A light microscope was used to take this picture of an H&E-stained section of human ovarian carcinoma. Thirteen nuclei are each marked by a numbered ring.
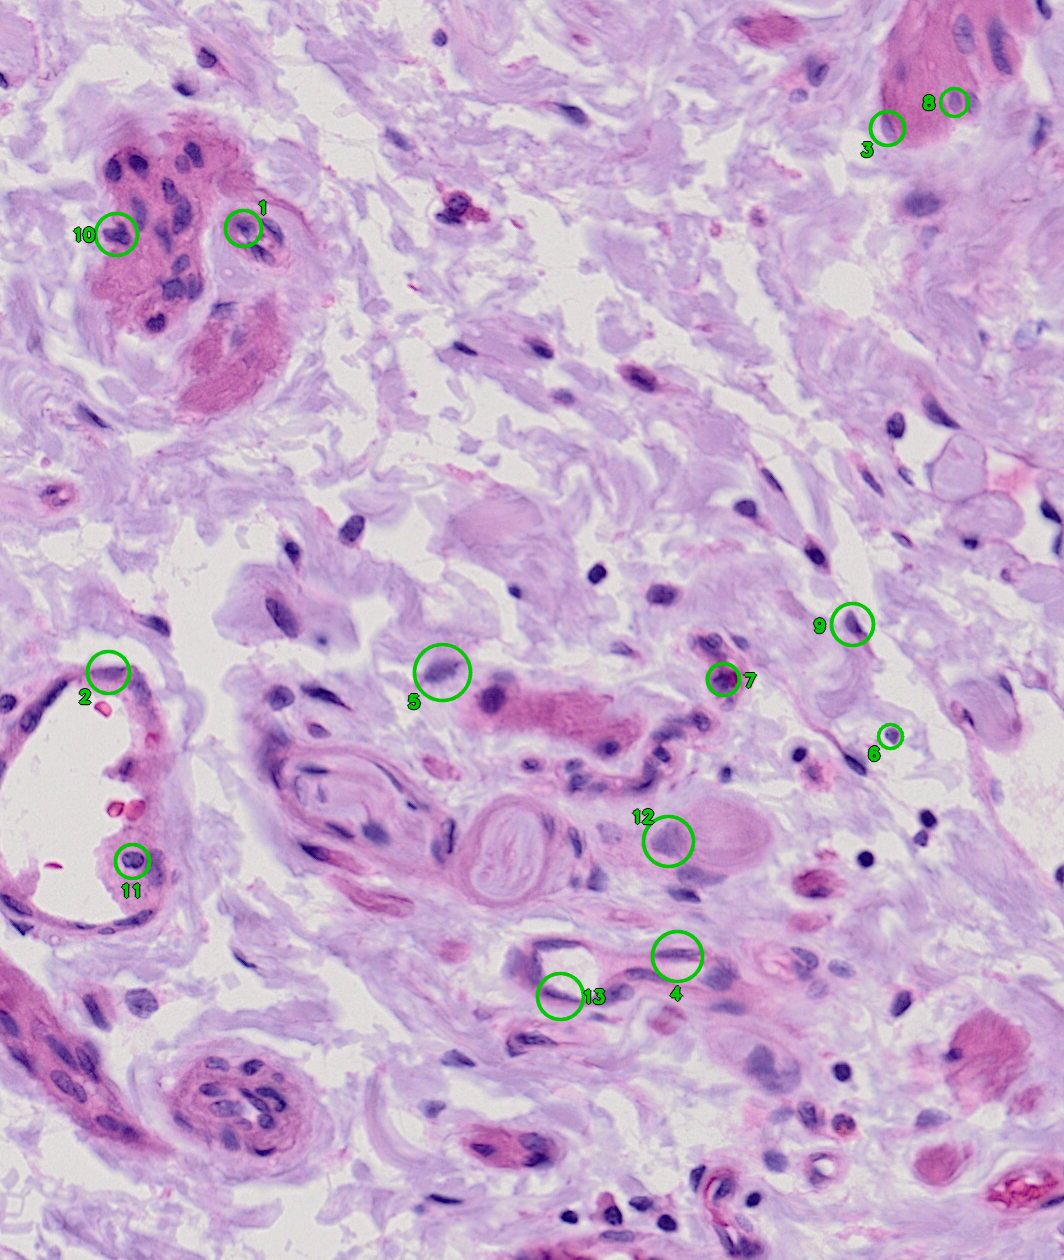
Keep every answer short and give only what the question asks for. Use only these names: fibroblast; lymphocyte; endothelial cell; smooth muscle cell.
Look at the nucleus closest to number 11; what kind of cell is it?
endothelial cell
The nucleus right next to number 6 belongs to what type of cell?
fibroblast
